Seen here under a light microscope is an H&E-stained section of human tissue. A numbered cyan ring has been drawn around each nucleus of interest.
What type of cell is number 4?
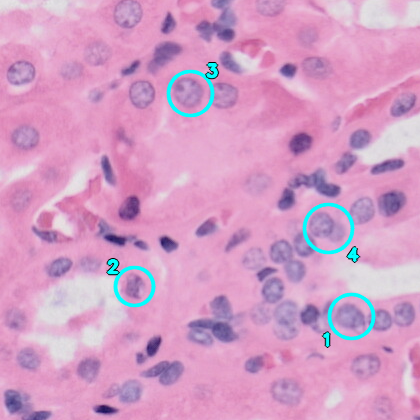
collecting duct cell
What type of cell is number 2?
loop of Henle or distal tubule cell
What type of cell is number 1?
collecting duct cell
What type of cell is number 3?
proximal tubule cell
